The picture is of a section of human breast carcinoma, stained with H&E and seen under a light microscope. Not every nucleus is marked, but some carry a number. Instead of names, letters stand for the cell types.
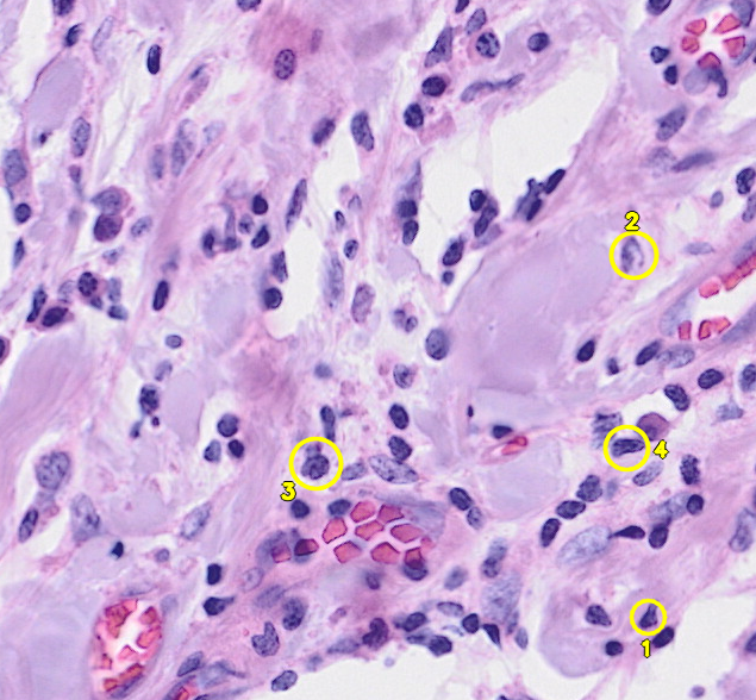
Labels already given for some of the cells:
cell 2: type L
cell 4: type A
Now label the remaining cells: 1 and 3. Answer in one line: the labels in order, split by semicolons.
type A; type A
